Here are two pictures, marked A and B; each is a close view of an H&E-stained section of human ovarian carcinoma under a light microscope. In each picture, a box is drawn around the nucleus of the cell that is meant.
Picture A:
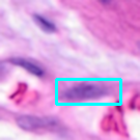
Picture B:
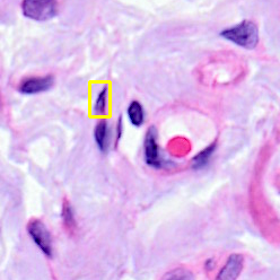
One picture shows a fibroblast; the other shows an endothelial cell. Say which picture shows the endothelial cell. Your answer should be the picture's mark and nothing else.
A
